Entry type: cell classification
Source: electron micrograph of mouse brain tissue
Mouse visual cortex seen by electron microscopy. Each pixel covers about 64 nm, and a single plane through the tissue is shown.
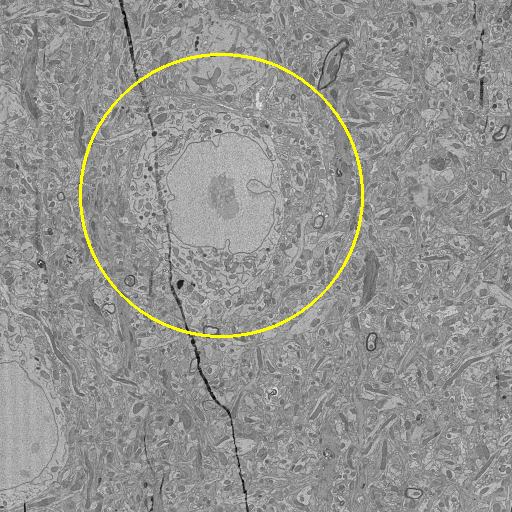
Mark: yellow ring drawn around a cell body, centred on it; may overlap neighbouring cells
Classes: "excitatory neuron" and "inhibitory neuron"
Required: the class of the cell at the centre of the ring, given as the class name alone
inhibitory neuron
